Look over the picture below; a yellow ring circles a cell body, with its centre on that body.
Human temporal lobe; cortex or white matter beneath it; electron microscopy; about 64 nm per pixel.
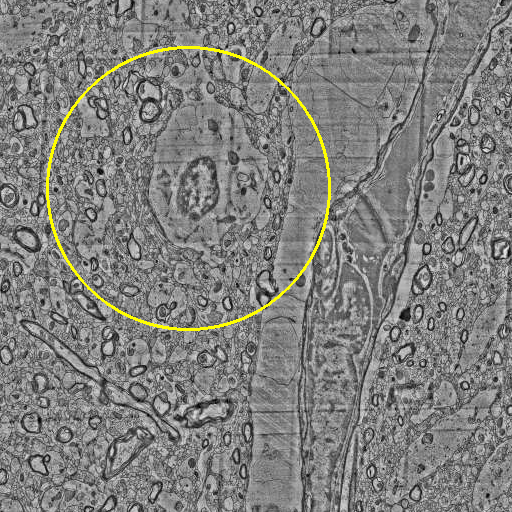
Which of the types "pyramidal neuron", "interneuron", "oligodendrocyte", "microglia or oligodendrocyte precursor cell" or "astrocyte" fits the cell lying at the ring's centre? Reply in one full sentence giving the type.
The picture shows an astrocyte at the centre of the yellow ring.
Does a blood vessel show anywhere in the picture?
Yes.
